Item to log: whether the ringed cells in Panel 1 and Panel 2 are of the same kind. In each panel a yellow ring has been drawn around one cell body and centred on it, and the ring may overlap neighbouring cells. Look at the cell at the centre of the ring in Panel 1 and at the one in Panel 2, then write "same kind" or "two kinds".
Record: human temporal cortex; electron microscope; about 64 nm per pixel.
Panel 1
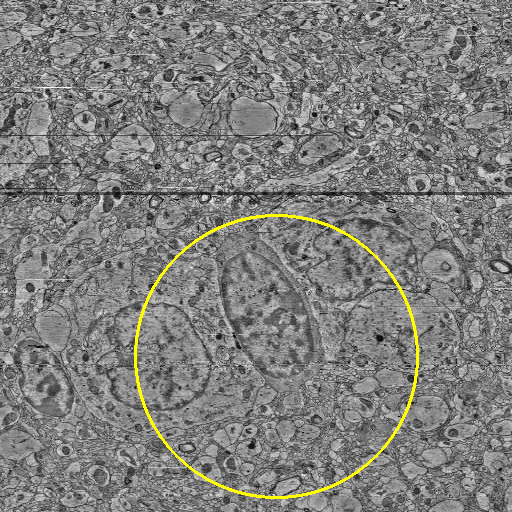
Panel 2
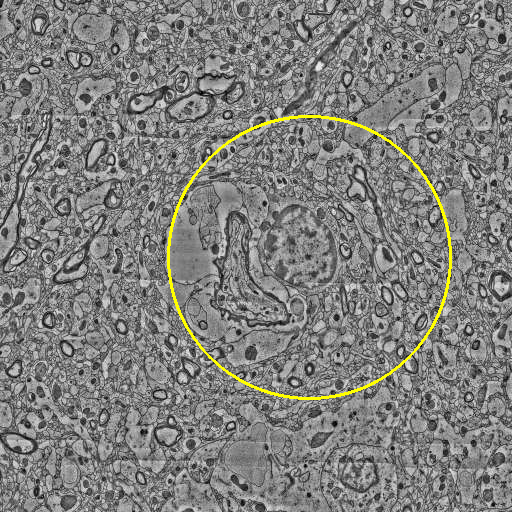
same kind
